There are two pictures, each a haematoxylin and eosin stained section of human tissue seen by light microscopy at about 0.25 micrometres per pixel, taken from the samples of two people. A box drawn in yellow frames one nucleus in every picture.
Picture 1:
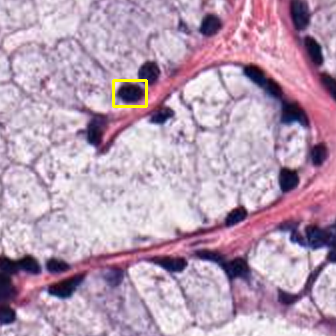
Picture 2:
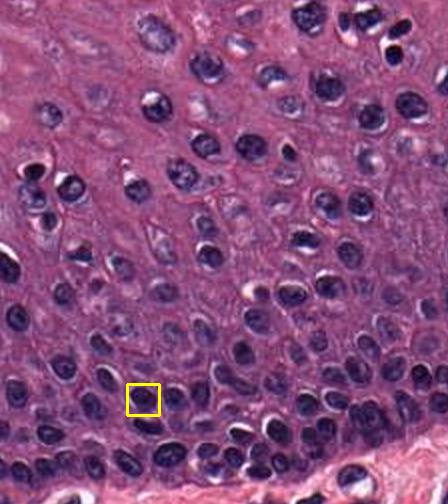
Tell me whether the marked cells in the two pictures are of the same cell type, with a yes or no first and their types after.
No, the first is a mucous gland cell and the second a squamous epithelial cell.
